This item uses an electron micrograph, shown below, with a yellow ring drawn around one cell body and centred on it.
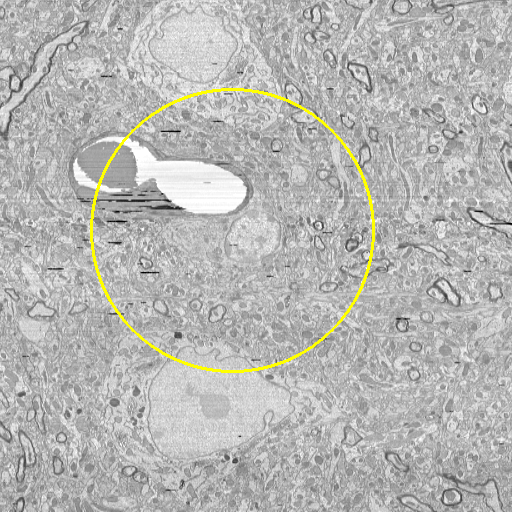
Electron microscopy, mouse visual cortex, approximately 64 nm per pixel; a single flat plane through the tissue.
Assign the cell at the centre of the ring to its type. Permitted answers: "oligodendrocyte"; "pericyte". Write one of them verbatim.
oligodendrocyte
